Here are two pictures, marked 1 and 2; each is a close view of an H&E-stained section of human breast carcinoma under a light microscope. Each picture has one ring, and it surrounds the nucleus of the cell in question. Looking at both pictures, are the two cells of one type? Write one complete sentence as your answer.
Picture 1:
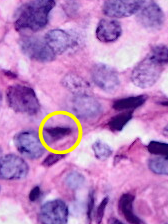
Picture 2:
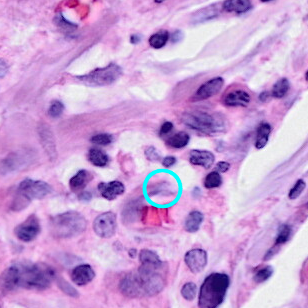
No, picture 1 shows a carcinoma cell and picture 2 shows an endothelial cell.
